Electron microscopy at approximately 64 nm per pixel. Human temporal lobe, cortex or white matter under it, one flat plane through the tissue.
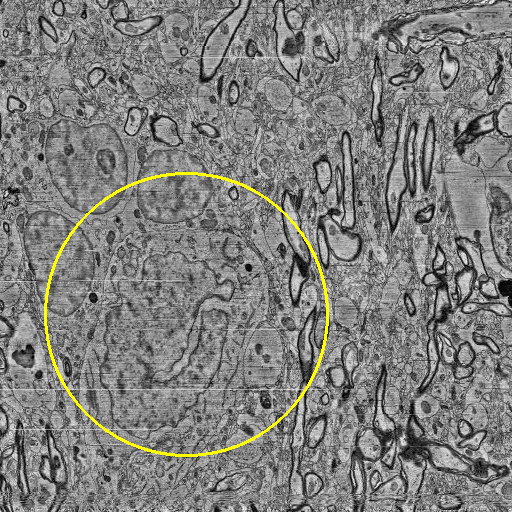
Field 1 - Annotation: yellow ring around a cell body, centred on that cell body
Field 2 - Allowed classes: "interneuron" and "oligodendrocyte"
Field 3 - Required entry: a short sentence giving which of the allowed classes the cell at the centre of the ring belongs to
The centred cell is an interneuron.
